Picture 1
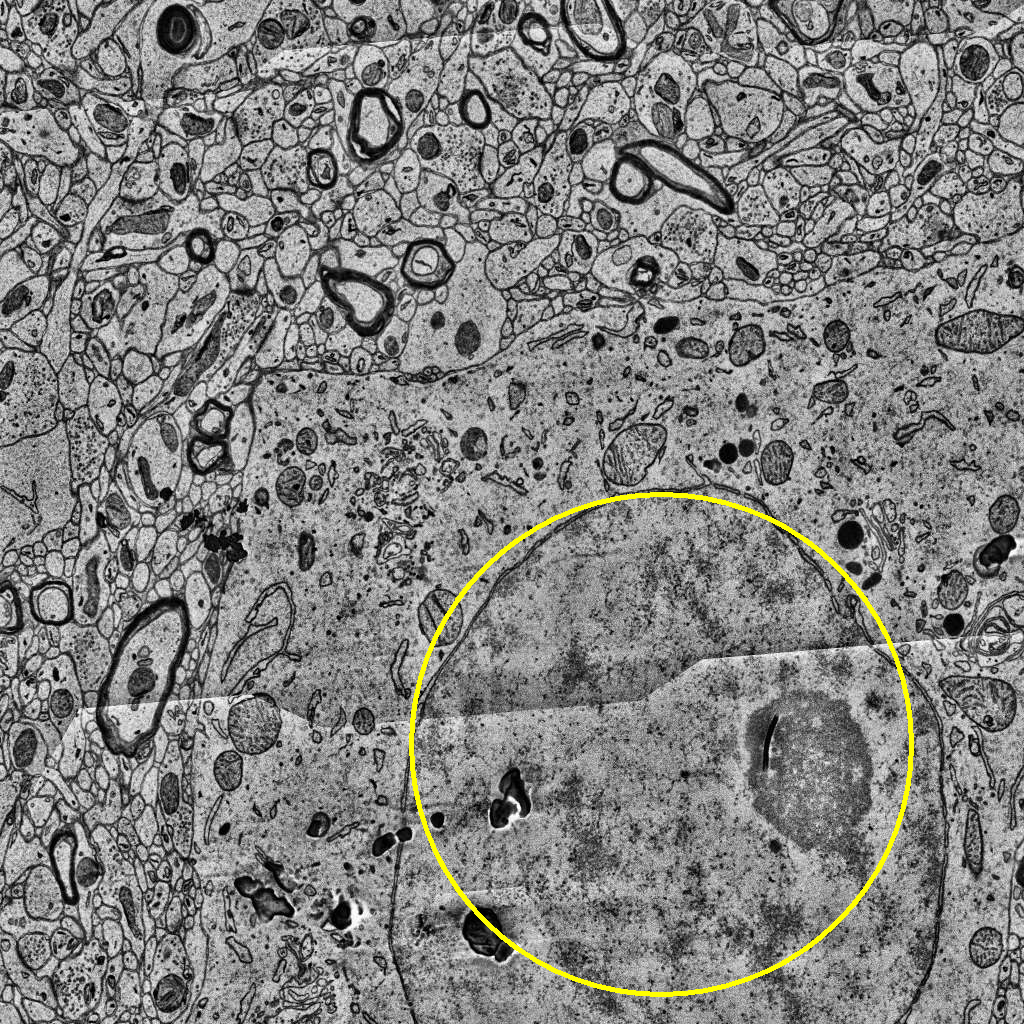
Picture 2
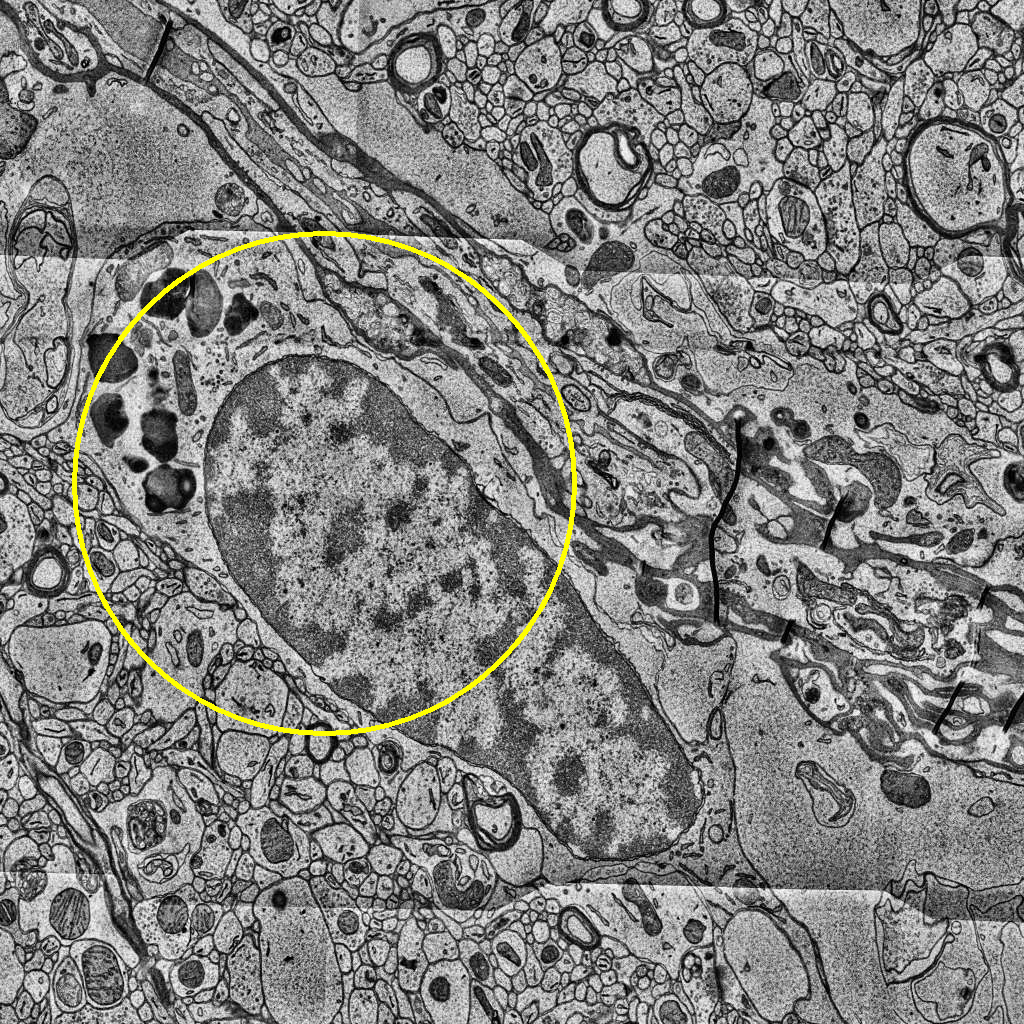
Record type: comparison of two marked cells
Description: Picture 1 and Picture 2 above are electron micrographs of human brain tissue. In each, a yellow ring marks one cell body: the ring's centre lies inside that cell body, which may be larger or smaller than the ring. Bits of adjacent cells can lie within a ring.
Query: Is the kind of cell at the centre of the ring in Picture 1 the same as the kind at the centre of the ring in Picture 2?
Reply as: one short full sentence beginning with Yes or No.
No, the two cells at the ring centres are of two separate kinds.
